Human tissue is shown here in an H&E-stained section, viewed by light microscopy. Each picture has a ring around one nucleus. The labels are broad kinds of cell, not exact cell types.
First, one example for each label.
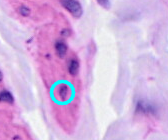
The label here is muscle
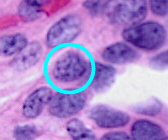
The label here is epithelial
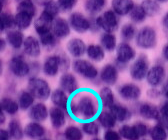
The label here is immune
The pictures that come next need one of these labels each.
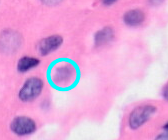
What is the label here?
epithelial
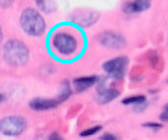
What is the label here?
epithelial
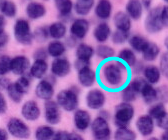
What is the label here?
immune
